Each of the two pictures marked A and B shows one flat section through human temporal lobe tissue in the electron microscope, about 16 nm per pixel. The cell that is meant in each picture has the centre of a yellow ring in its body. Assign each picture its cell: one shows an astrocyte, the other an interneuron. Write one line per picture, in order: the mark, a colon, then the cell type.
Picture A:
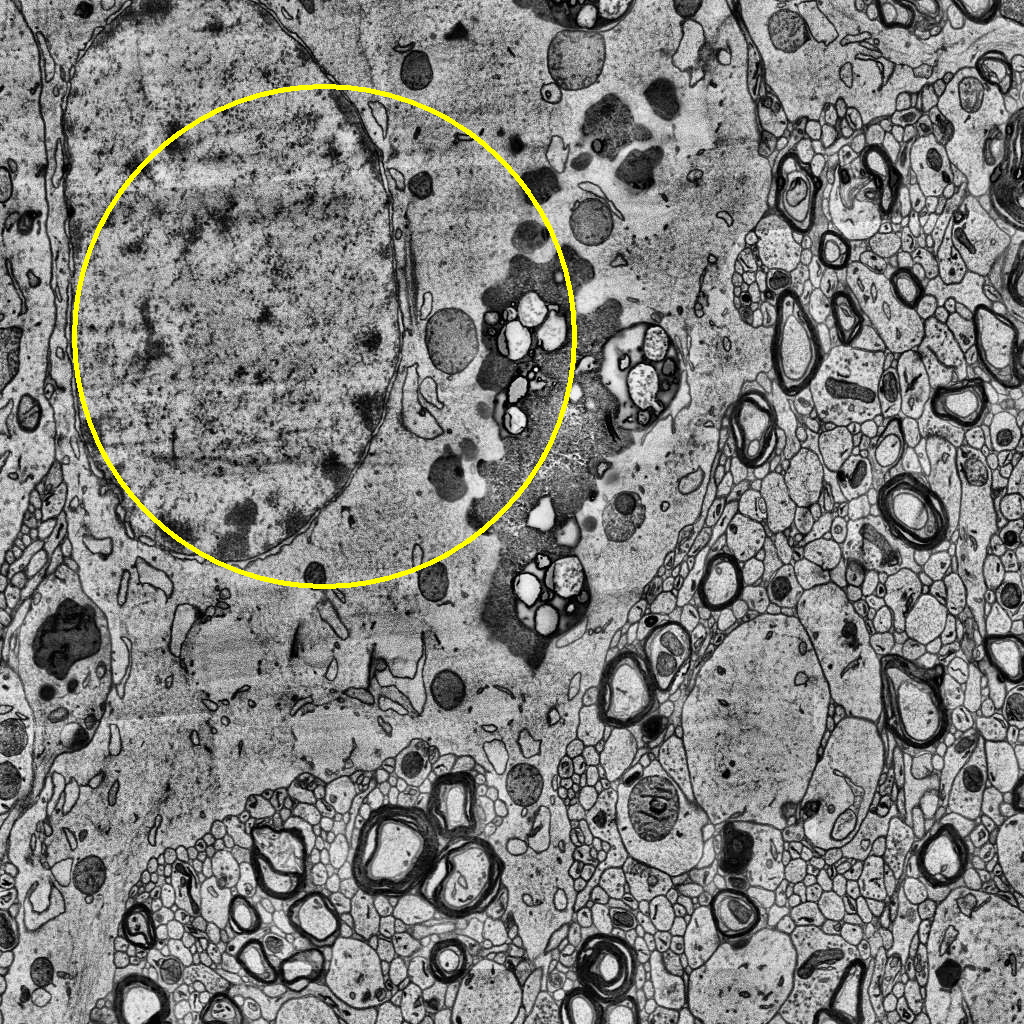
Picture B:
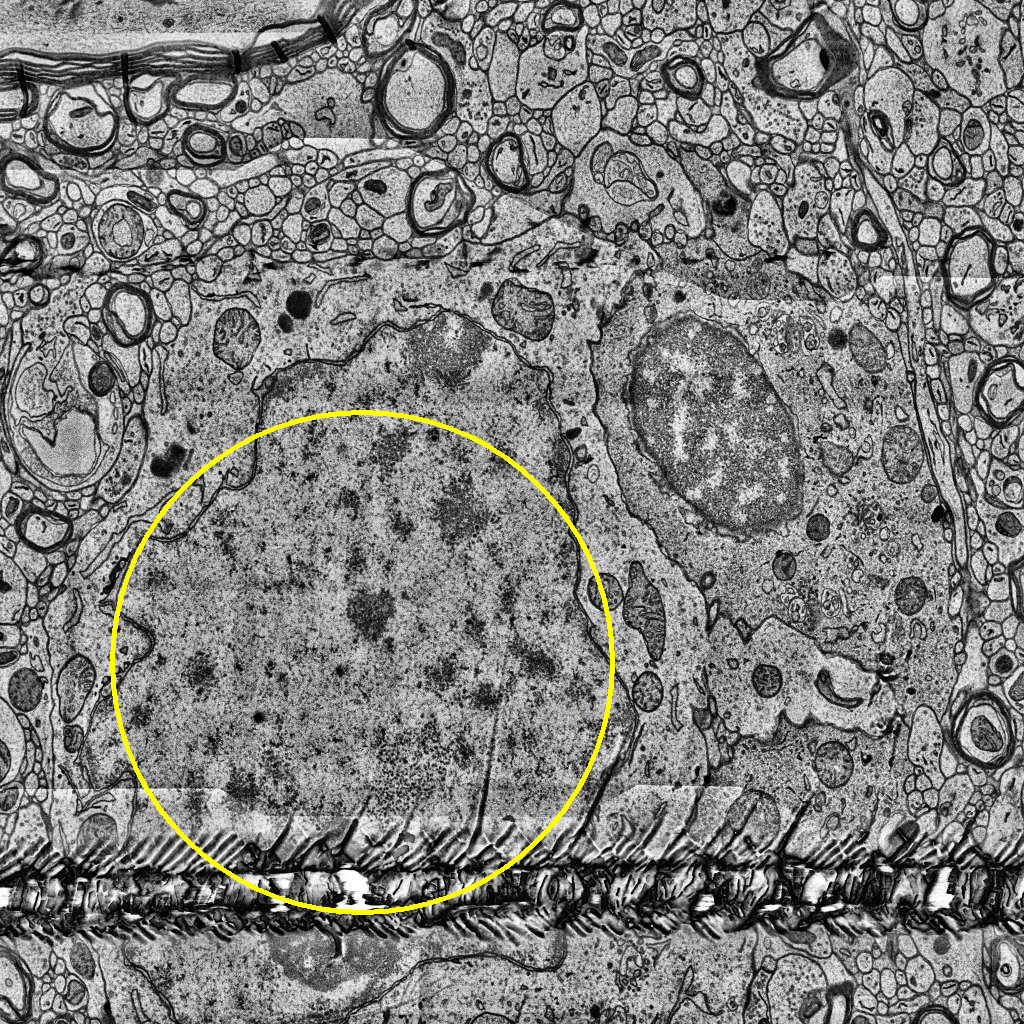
A: astrocyte
B: interneuron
